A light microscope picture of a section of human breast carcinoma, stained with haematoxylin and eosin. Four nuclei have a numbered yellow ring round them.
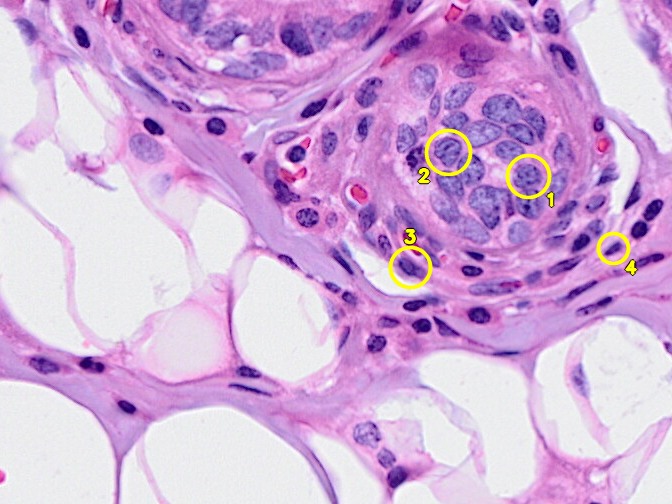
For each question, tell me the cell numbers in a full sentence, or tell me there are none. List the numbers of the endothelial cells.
Cell 3 represents an endothelial cell, and no other numbered cell does.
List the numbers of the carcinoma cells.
The cells the numbers 1 and 2 point to are carcinoma cells.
